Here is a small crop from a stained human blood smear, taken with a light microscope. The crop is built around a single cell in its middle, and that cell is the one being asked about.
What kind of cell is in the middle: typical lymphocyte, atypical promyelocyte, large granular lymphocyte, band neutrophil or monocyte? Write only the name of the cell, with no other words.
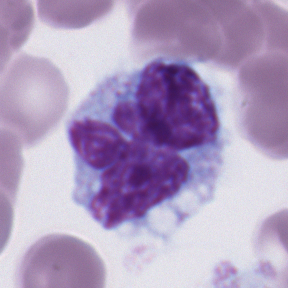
monocyte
